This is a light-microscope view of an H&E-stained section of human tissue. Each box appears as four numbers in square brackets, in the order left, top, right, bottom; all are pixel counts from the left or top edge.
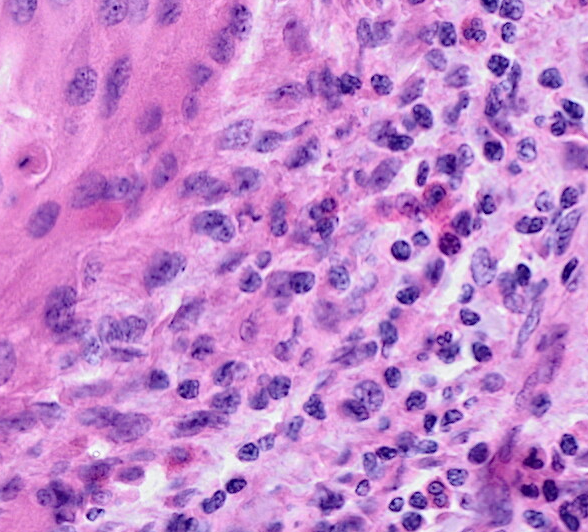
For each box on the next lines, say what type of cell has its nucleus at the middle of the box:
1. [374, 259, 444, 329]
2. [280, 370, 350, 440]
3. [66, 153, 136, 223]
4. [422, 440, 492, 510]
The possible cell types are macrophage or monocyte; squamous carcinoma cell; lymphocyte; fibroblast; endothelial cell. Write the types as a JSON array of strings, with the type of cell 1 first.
["lymphocyte", "lymphocyte", "squamous carcinoma cell", "lymphocyte"]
